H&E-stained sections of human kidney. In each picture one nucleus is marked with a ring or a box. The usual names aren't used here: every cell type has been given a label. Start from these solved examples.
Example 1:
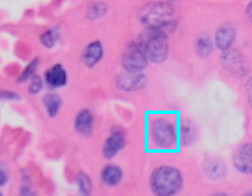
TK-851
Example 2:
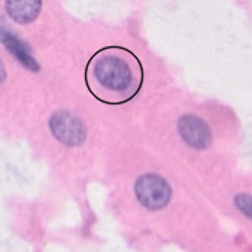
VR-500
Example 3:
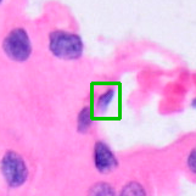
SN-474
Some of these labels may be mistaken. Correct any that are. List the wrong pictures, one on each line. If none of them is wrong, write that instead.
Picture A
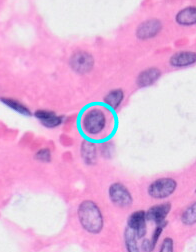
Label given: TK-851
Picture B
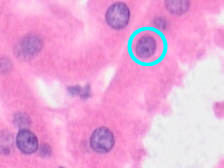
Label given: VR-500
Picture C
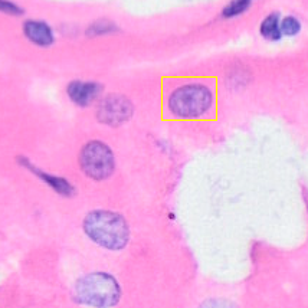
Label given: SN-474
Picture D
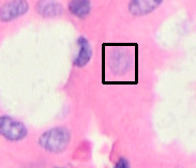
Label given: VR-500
C should be VR-500, not SN-474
